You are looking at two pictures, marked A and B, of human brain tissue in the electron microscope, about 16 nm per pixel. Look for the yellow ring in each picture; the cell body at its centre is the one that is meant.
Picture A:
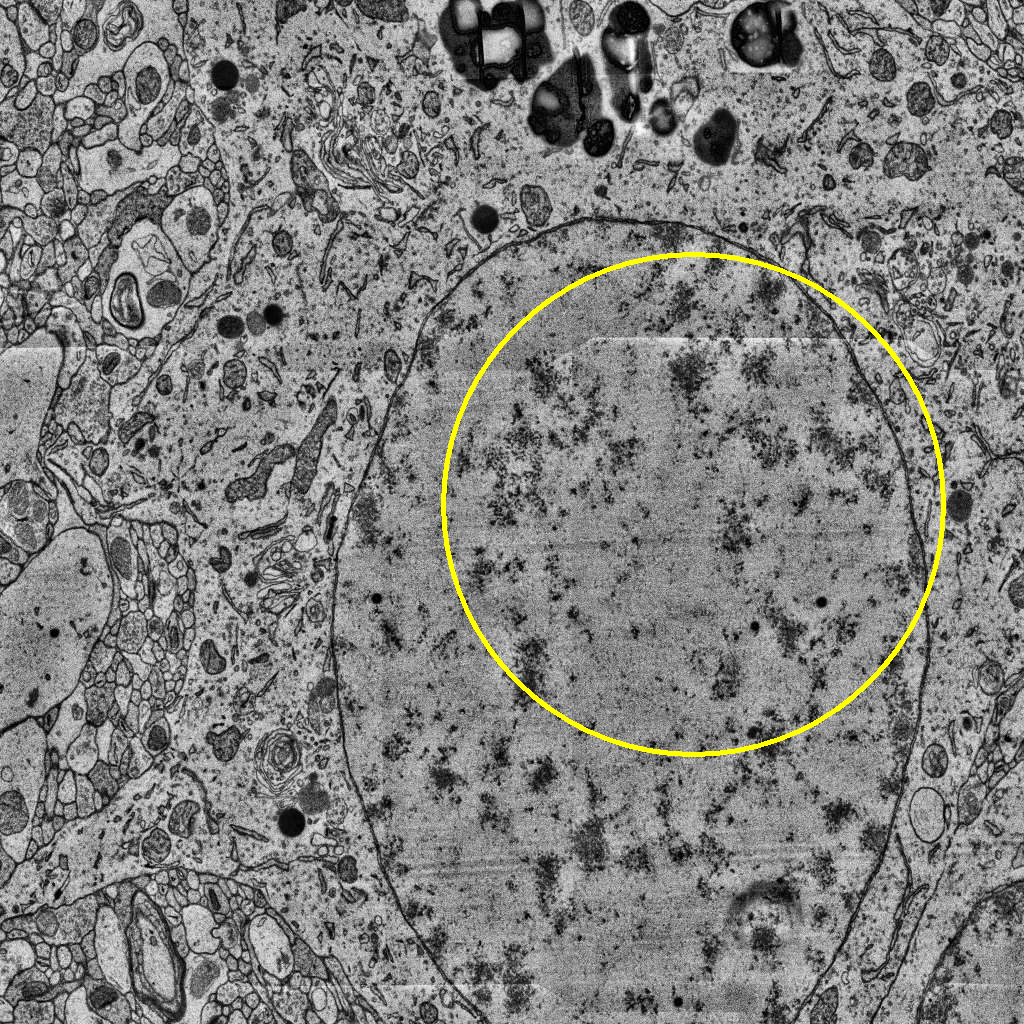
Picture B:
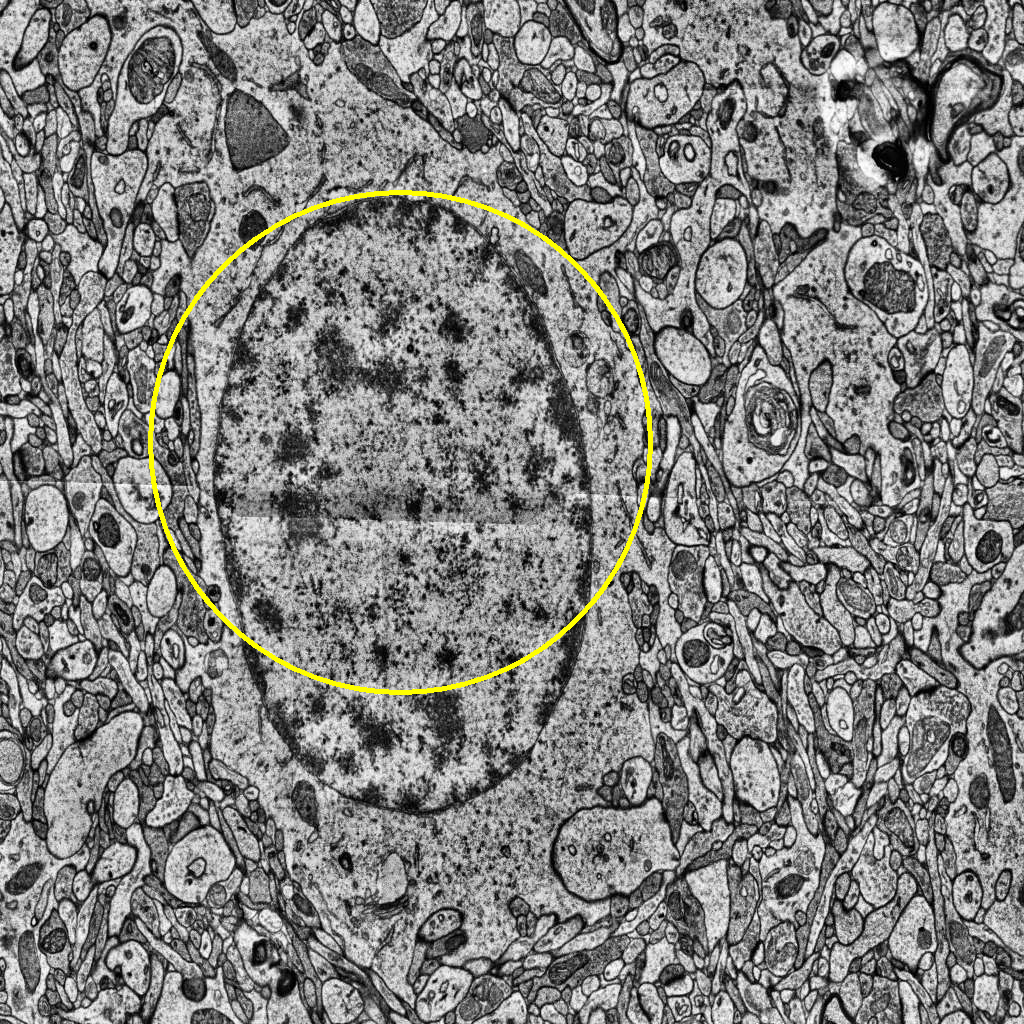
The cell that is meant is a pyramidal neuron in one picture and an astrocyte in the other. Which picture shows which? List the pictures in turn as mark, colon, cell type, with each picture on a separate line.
A: pyramidal neuron
B: astrocyte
